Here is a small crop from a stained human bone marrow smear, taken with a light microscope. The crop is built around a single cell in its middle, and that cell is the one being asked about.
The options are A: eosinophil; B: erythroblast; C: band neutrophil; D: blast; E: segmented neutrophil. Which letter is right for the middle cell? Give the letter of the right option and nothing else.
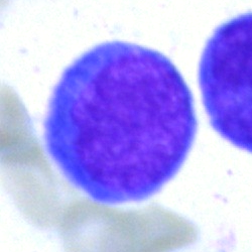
D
